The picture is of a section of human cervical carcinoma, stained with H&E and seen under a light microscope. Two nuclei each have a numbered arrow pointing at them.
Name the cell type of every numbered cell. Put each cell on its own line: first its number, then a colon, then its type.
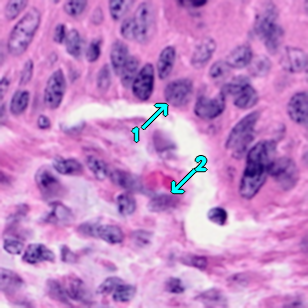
1: squamous carcinoma cell
2: endothelial cell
